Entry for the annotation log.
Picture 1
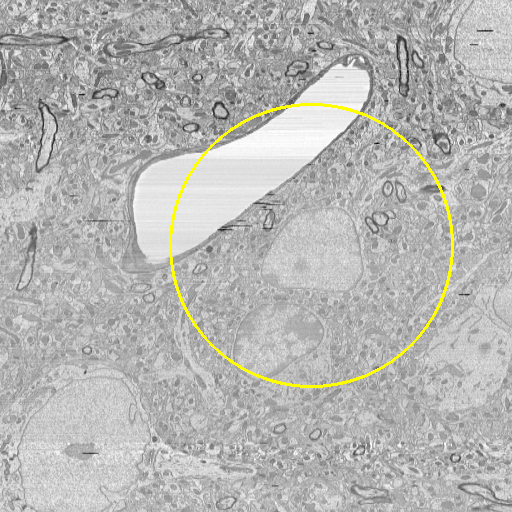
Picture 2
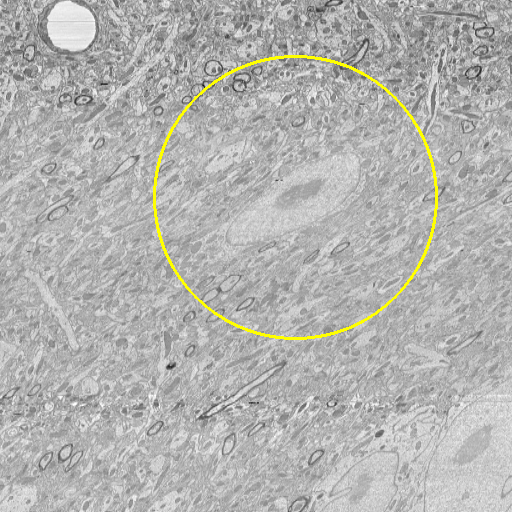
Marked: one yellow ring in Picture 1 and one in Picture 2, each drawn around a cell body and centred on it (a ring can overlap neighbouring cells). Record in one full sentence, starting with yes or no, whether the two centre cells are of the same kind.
Yes, both cells are of the same kind.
